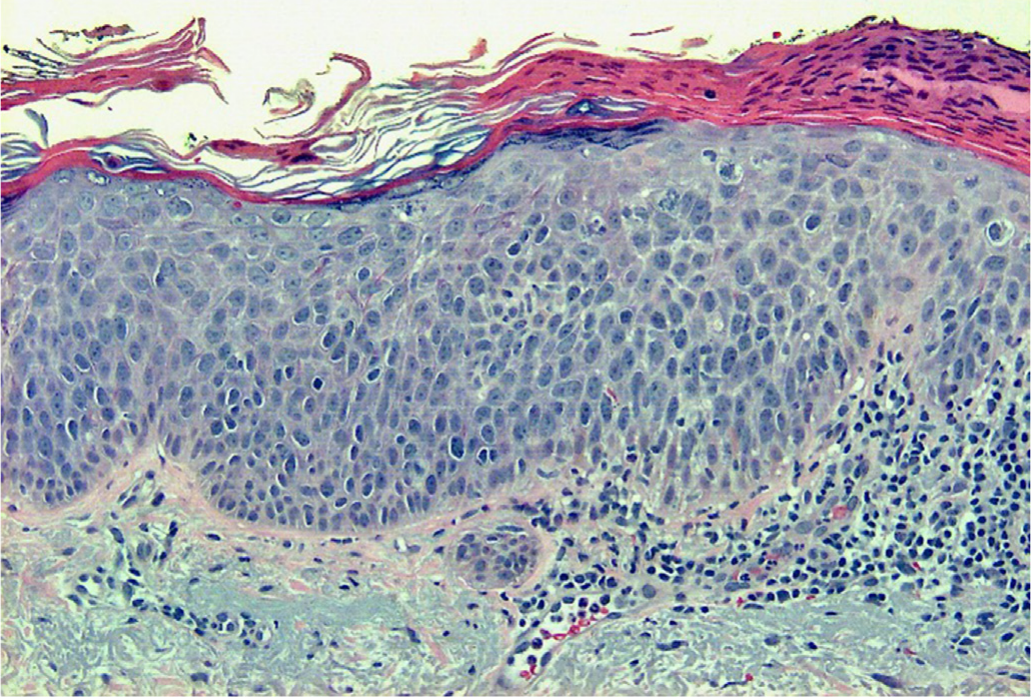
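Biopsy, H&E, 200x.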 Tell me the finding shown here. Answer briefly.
Squamous cell carcinoma in situ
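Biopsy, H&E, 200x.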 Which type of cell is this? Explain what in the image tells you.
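The epithelial cells have large nuclei of varied size and shape. Crowded, disordered cells fill the whole epidermal thickness. No orderly maturation toward the surface is seen.
Atypical keratinocytes.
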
